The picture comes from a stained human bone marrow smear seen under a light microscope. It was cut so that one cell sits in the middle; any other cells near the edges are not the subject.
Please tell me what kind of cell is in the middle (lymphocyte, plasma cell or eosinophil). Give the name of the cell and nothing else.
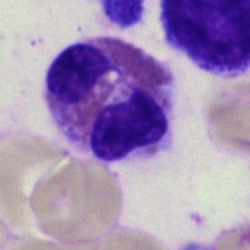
eosinophil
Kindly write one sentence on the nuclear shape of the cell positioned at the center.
The nucleus here is split into two or more lobes, not one.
